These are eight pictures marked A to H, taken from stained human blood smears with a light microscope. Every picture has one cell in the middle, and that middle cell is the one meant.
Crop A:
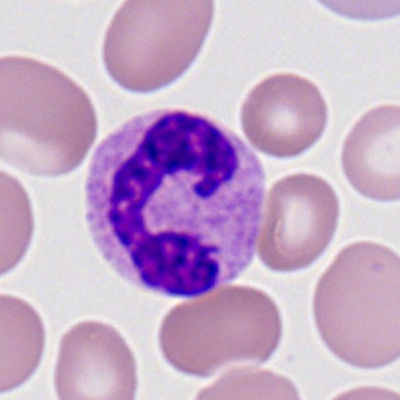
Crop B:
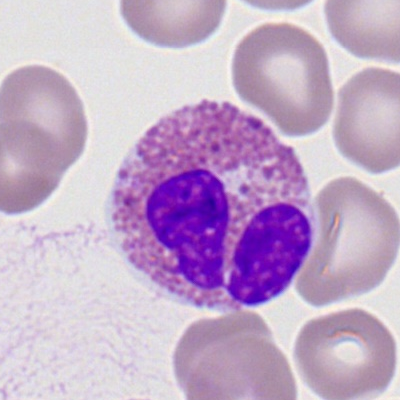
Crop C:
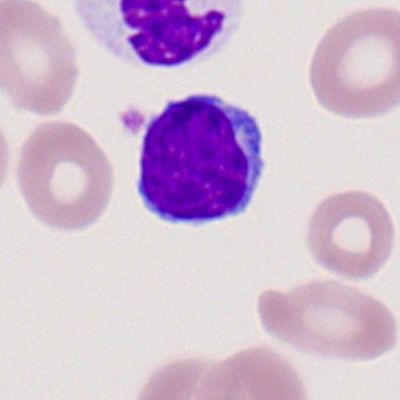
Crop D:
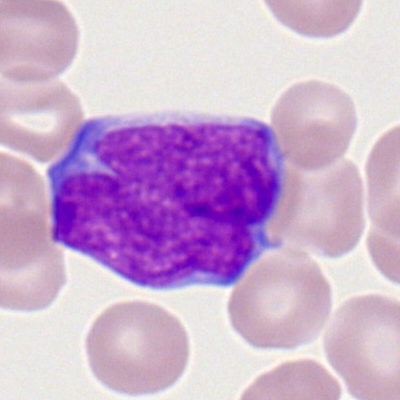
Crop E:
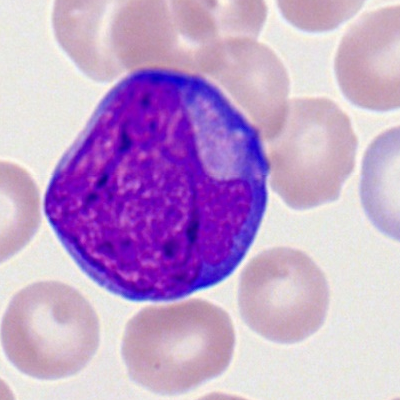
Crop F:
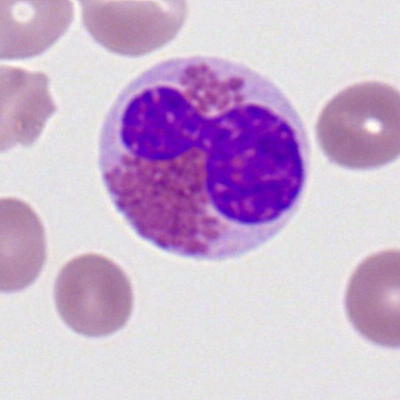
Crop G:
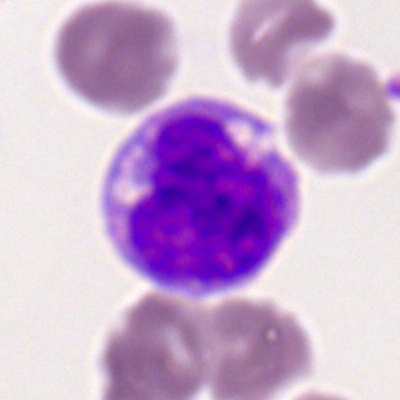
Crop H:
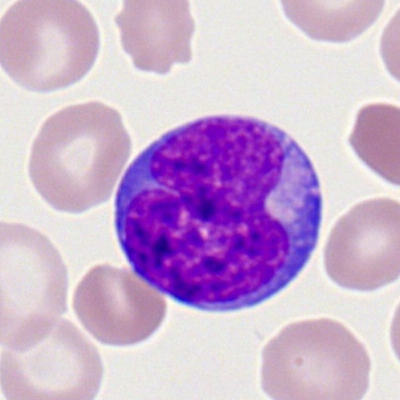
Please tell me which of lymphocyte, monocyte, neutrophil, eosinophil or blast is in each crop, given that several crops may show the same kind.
A: neutrophil
B: eosinophil
C: lymphocyte
D: blast
E: blast
F: eosinophil
G: monocyte
H: blast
